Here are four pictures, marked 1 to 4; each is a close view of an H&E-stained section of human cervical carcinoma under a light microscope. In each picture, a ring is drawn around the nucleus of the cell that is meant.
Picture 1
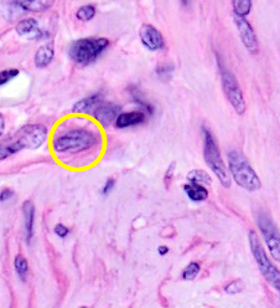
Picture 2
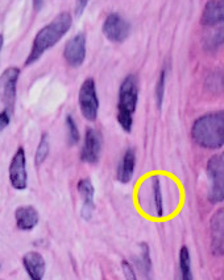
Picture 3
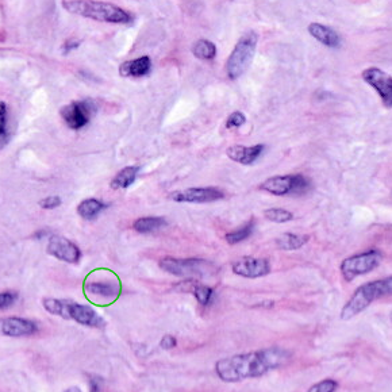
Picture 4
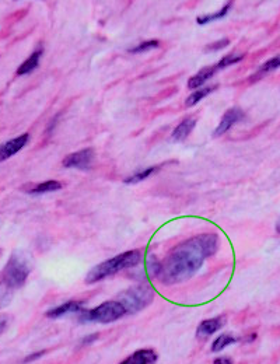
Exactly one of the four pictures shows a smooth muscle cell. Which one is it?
3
